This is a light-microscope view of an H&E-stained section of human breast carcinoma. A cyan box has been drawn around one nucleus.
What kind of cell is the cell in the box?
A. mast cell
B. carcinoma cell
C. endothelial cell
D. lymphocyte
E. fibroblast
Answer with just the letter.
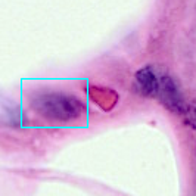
C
